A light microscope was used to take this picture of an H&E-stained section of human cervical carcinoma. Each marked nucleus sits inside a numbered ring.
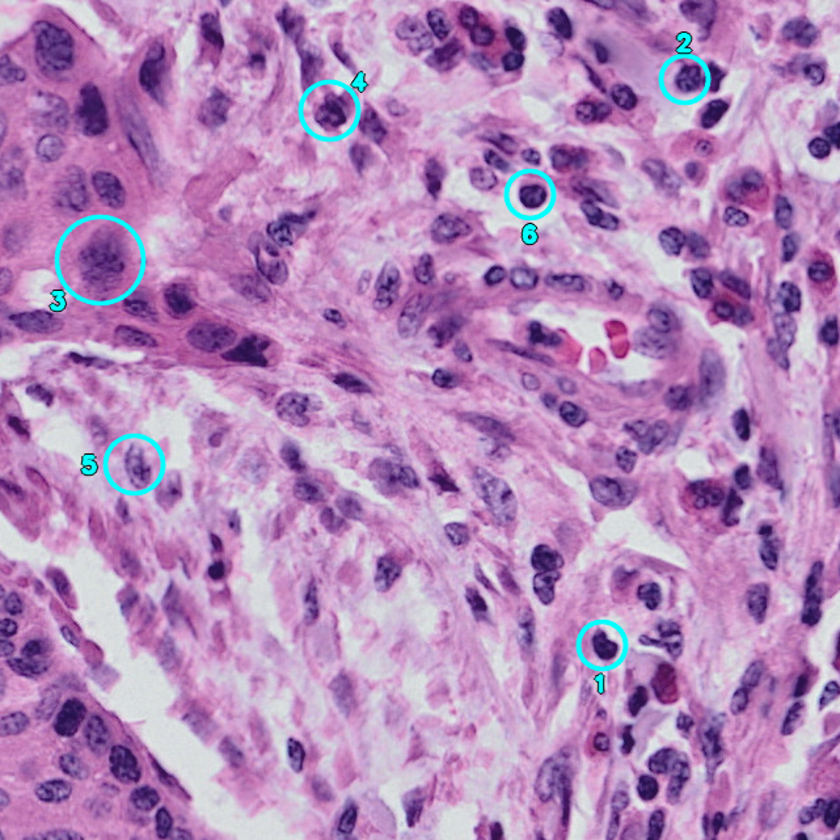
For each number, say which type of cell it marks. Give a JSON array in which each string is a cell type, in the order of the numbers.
["lymphocyte", "lymphocyte", "squamous carcinoma cell", "macrophage or monocyte", "fibroblast", "lymphocyte"]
